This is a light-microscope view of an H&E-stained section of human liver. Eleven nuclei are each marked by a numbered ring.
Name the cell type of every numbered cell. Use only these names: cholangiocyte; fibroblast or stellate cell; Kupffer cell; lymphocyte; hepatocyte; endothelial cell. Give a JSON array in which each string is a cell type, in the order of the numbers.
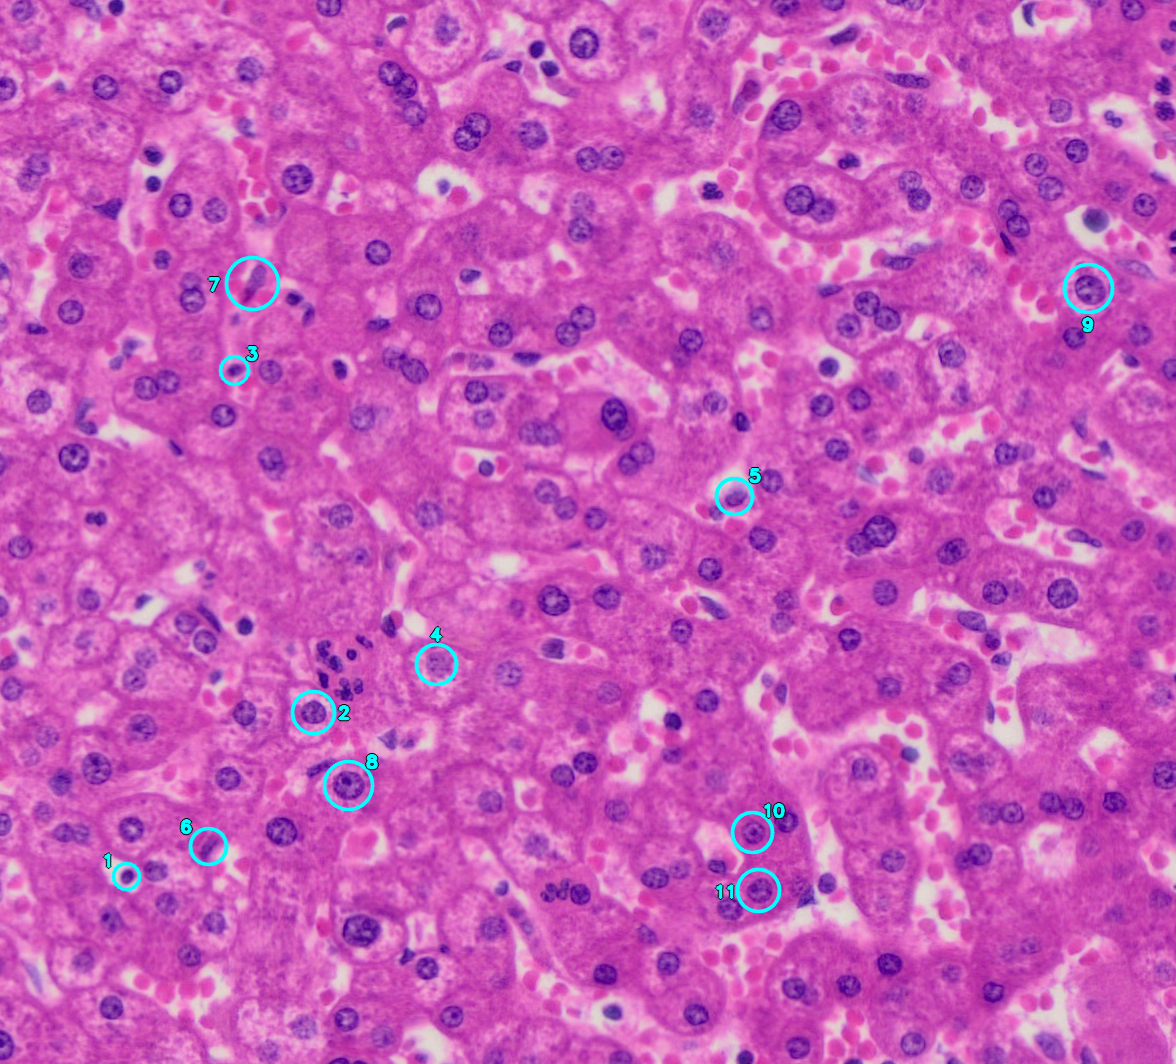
["lymphocyte", "hepatocyte", "lymphocyte", "hepatocyte", "Kupffer cell", "fibroblast or stellate cell", "Kupffer cell", "hepatocyte", "hepatocyte", "hepatocyte", "hepatocyte"]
